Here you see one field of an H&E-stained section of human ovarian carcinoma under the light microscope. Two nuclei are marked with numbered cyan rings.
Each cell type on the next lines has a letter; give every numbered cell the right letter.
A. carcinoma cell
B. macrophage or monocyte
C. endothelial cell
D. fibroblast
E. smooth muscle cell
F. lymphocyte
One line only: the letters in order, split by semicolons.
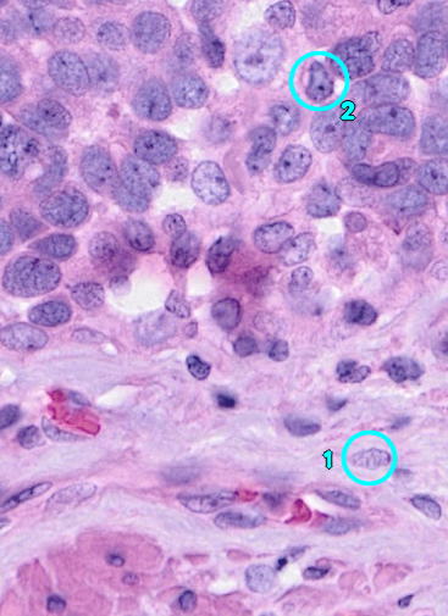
D; B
